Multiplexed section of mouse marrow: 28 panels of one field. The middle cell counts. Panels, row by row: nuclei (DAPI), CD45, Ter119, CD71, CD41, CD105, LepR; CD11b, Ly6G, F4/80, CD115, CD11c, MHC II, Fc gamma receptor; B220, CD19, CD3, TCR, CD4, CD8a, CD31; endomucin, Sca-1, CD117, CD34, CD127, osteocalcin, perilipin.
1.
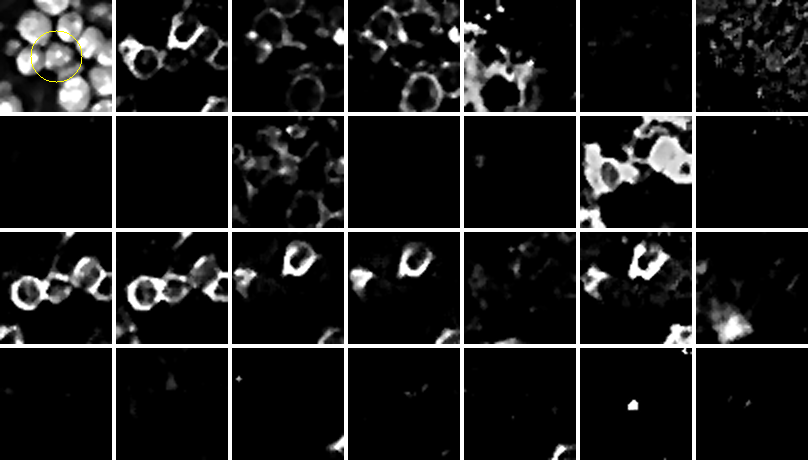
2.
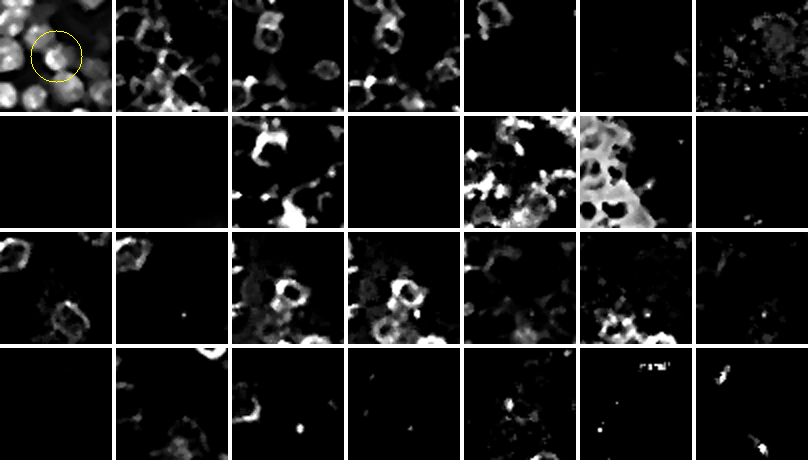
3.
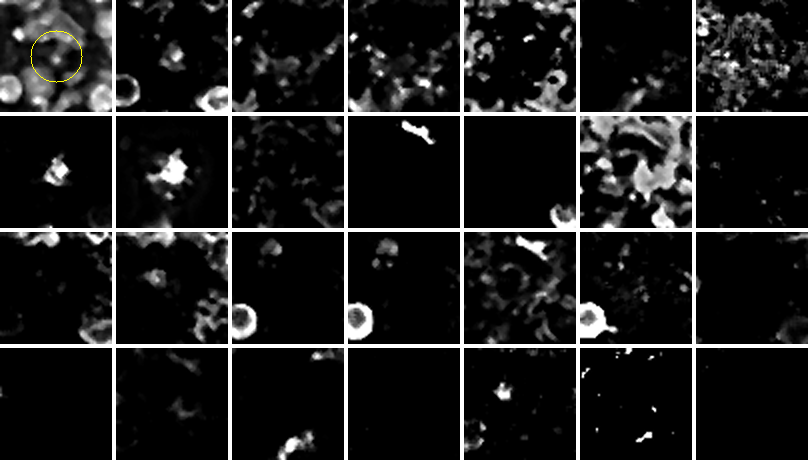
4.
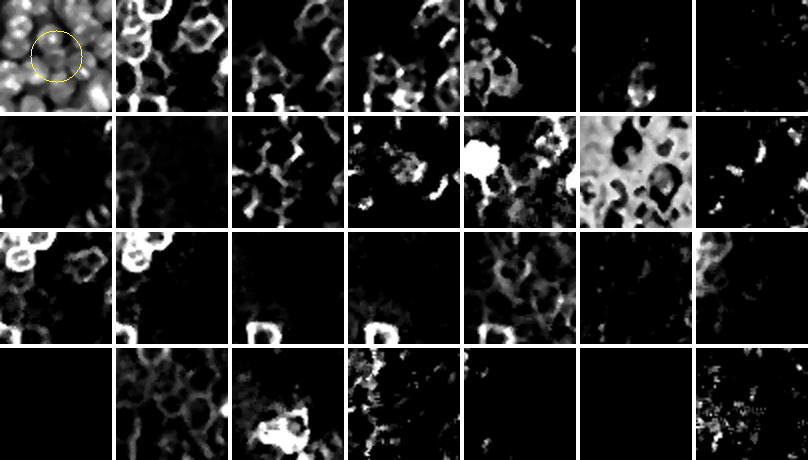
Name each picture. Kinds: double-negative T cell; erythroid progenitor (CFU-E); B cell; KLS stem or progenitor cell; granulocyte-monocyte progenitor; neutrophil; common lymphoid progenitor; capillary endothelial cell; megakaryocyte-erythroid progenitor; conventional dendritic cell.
(1) B cell
(2) double-negative T cell
(3) neutrophil
(4) megakaryocyte-erythroid progenitor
